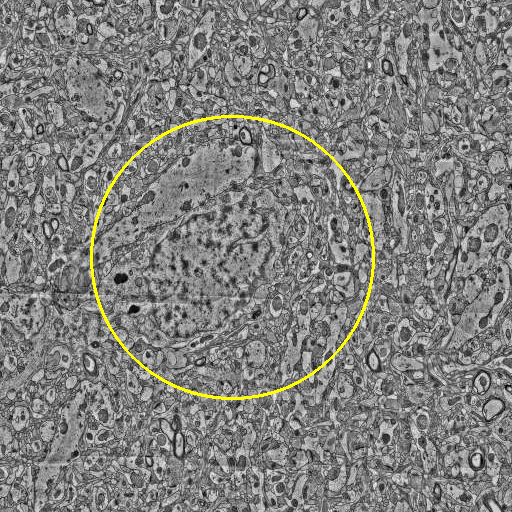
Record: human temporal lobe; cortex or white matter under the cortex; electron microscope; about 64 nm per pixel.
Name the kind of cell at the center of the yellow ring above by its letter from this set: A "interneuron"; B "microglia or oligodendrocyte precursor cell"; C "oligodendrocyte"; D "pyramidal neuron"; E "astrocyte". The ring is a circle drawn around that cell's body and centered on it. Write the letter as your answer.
A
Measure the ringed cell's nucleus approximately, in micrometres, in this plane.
In this plane, roughly 10 by 7 micrometres.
